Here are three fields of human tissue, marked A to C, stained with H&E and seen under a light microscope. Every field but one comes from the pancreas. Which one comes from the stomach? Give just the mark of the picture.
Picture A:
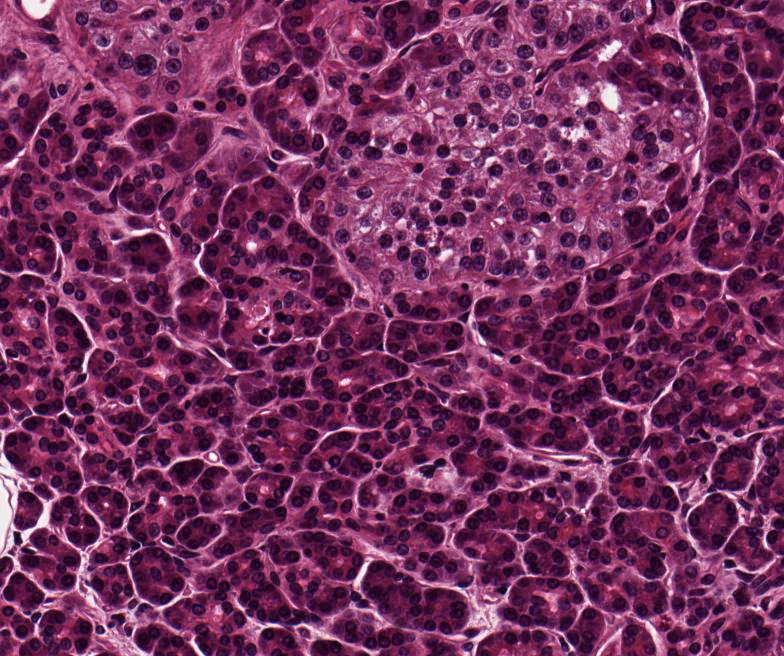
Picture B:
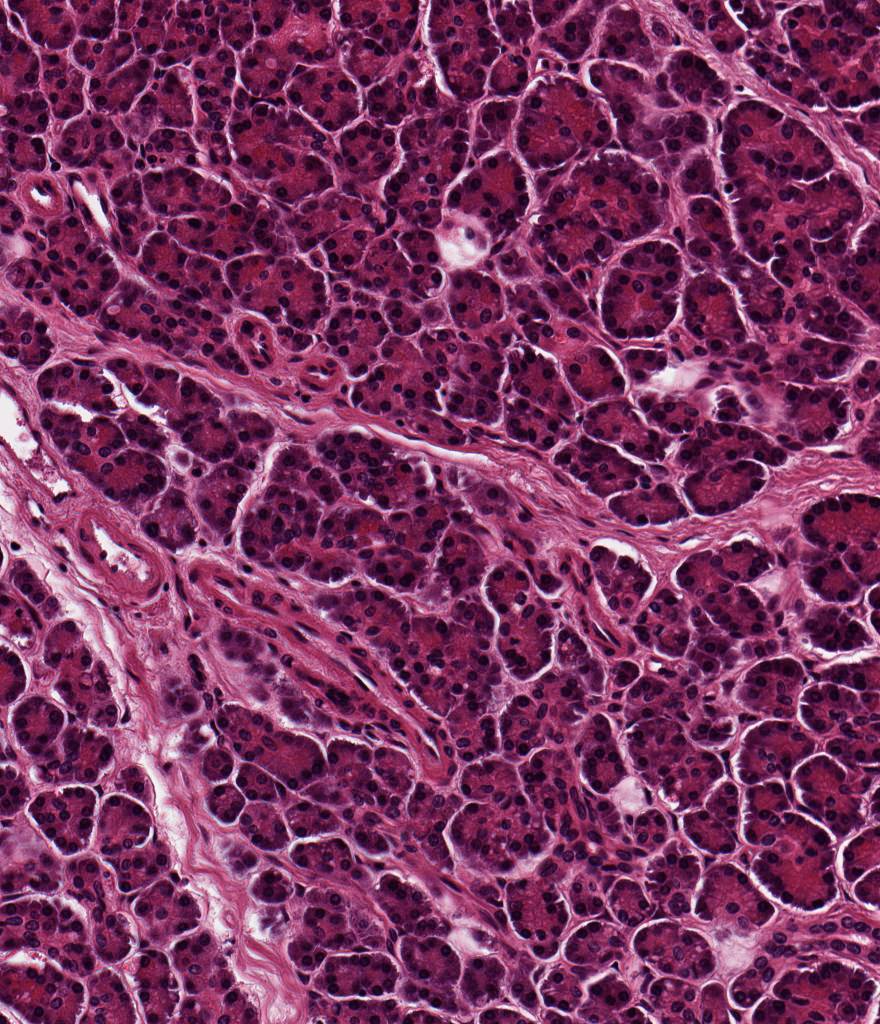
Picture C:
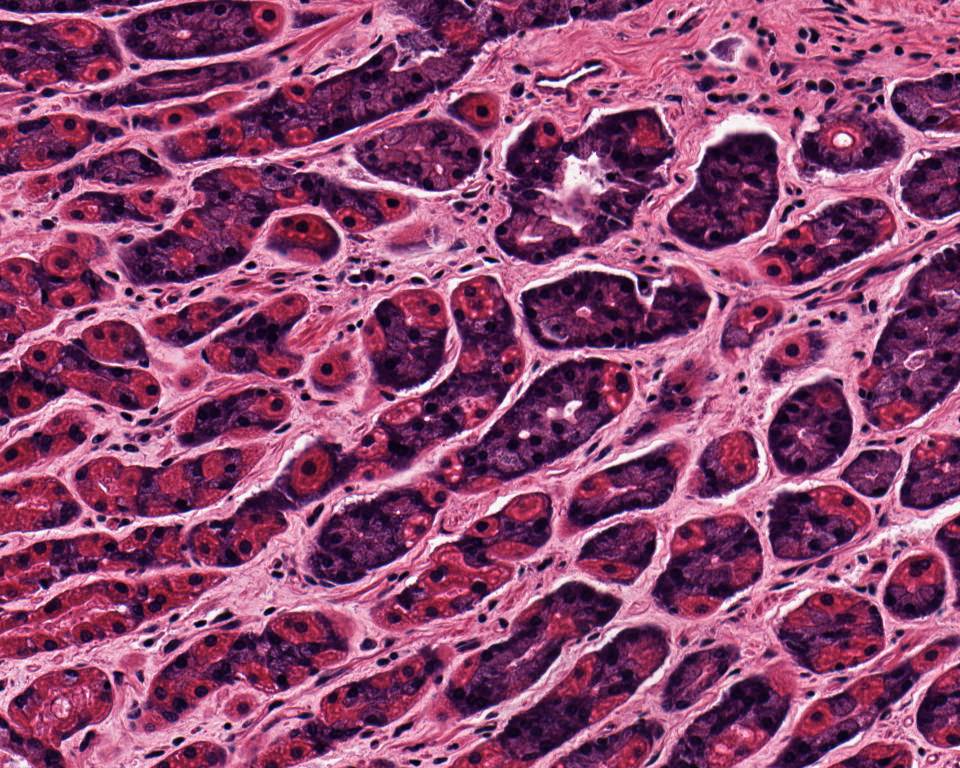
C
